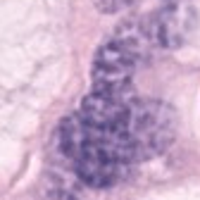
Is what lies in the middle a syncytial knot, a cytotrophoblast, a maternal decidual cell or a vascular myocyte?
It is a syncytial knot.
